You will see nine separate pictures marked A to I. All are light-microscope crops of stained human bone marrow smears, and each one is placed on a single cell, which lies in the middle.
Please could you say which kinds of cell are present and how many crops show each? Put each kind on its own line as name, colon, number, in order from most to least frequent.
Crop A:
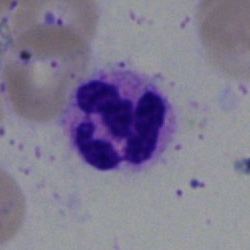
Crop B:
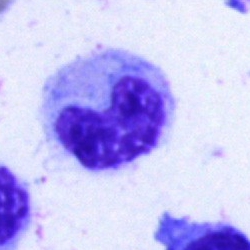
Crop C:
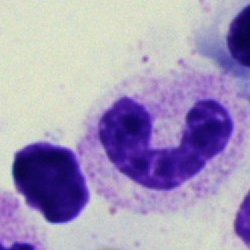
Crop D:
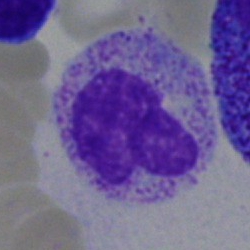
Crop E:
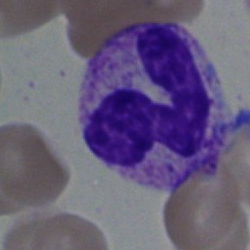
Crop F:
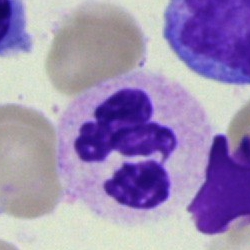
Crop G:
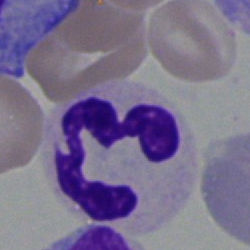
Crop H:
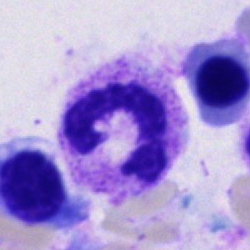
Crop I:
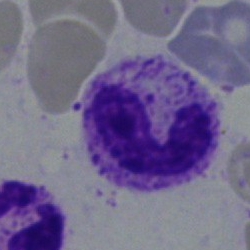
band neutrophil: 5
segmented neutrophil: 4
